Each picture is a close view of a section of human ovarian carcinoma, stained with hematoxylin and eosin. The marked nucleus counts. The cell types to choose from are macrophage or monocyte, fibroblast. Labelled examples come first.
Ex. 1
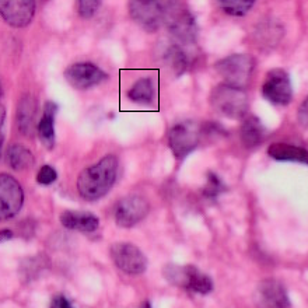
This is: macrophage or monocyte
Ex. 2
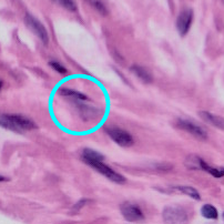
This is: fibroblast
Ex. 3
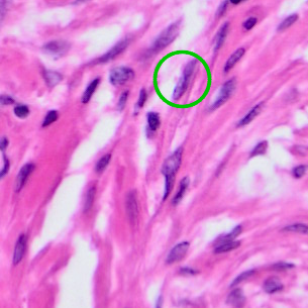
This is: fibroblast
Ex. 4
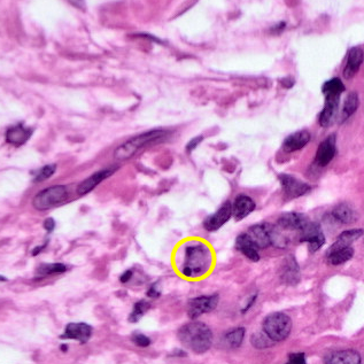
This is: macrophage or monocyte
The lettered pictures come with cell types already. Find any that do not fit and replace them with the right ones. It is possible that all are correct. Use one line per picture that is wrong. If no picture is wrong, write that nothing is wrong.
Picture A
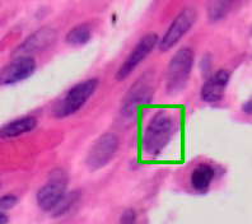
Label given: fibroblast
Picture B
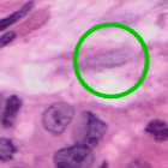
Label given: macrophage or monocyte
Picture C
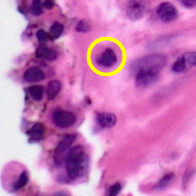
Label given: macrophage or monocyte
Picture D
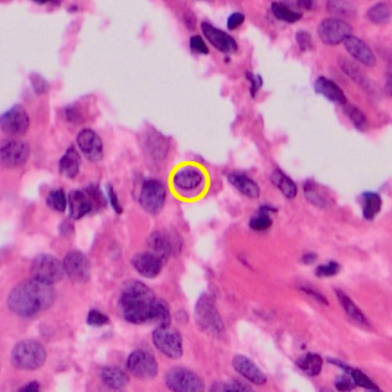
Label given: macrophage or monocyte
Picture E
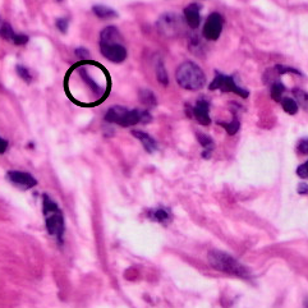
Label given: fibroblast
A is labelled fibroblast; correct label: macrophage or monocyte
B is labelled macrophage or monocyte; correct label: fibroblast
